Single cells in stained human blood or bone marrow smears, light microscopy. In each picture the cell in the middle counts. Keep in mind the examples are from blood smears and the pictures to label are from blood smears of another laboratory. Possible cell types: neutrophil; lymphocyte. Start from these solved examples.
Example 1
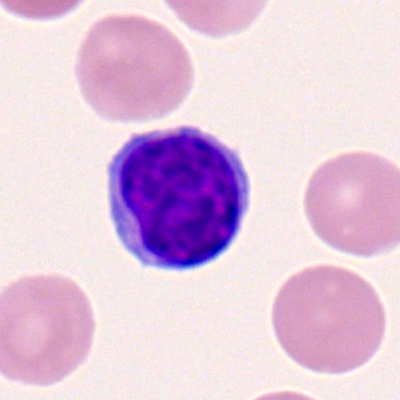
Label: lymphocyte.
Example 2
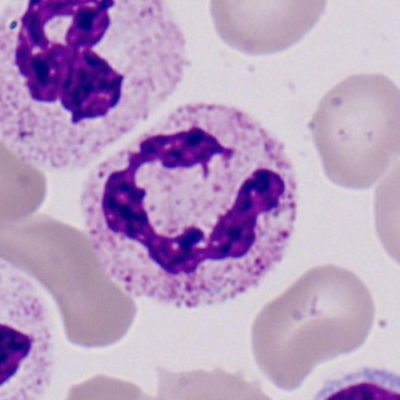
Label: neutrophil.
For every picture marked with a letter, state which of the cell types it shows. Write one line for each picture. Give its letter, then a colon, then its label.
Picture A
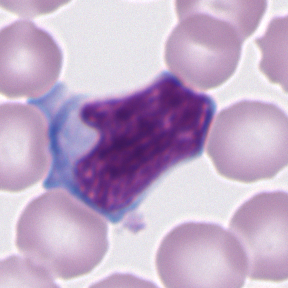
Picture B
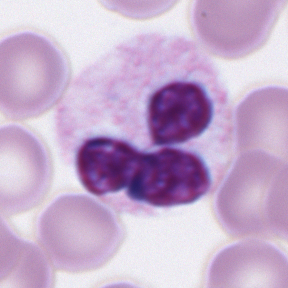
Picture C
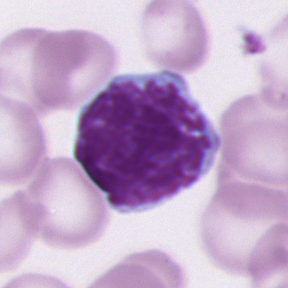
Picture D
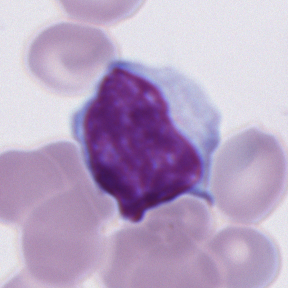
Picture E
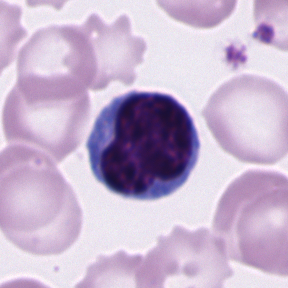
A: lymphocyte.
B: neutrophil.
C: lymphocyte.
D: lymphocyte.
E: lymphocyte.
